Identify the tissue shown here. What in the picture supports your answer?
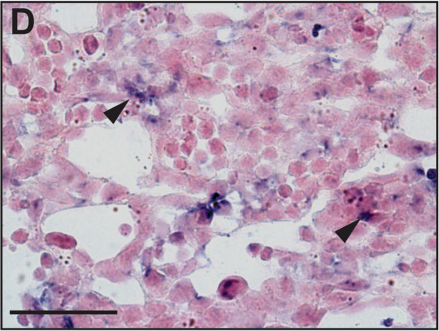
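A spongy meshwork of cells around many small vascular spaces. Blood cells lie within the spaces between the cell cords. So: labyrinth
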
